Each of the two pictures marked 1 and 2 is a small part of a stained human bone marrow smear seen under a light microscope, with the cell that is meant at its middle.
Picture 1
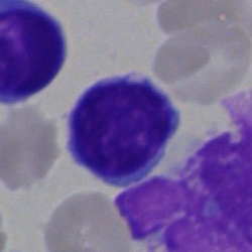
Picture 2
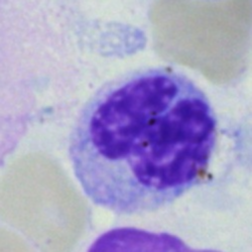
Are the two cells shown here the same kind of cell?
no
